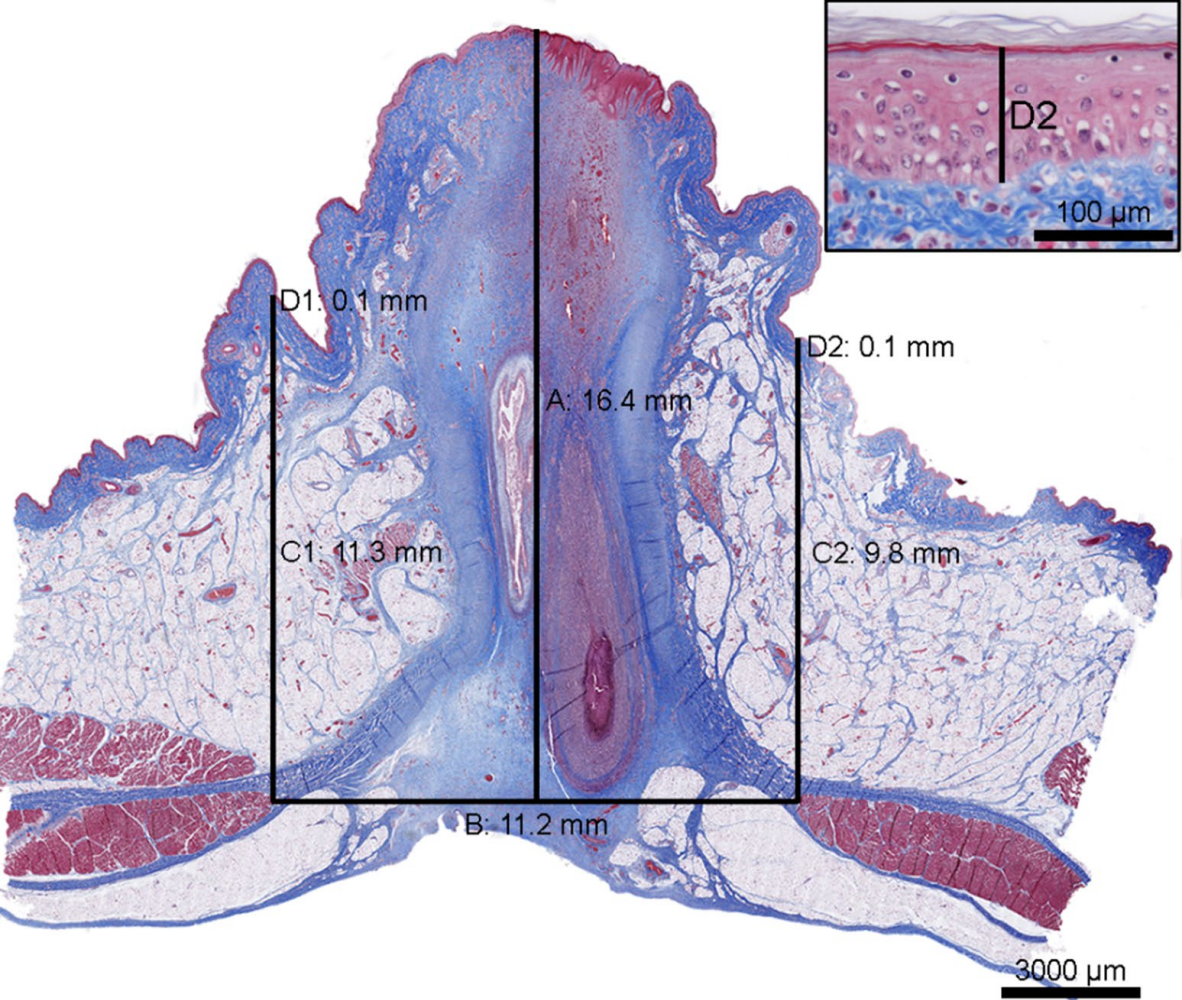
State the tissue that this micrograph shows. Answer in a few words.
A: Umbilicus.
